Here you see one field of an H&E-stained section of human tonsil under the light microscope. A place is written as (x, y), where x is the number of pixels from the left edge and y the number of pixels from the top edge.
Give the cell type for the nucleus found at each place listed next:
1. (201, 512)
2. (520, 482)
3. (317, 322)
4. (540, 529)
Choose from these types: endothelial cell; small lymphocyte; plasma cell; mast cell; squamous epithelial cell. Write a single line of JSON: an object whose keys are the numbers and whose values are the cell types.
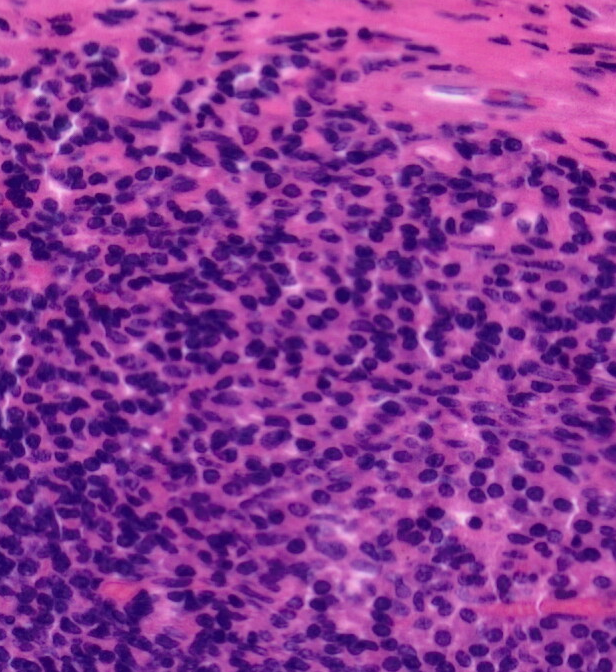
{"1": "squamous epithelial cell", "2": "plasma cell", "3": "plasma cell", "4": "plasma cell"}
